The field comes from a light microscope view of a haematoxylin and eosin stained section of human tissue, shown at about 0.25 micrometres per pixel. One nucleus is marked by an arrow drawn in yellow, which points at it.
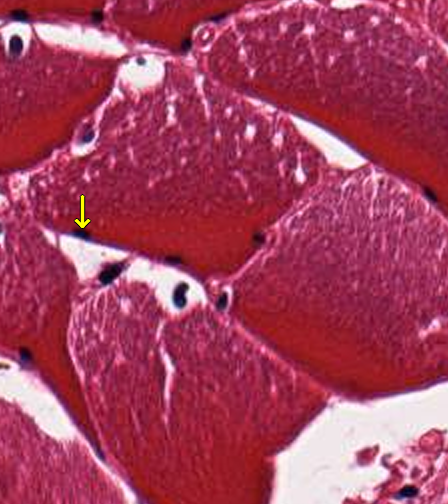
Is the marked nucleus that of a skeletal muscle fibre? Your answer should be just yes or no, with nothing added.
yes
